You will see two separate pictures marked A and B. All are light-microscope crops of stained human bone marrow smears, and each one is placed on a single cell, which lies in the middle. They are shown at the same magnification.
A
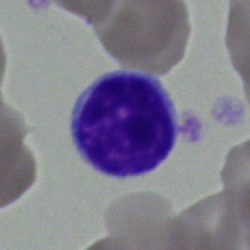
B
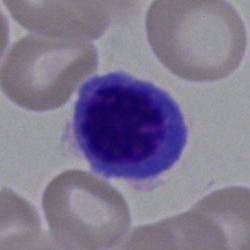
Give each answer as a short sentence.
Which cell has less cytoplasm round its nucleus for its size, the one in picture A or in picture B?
It is the cell in picture A that is filled more by its nucleus.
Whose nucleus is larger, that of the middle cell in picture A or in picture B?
The nucleus in picture A is larger, with about 1.5 times the area of the one in picture B.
